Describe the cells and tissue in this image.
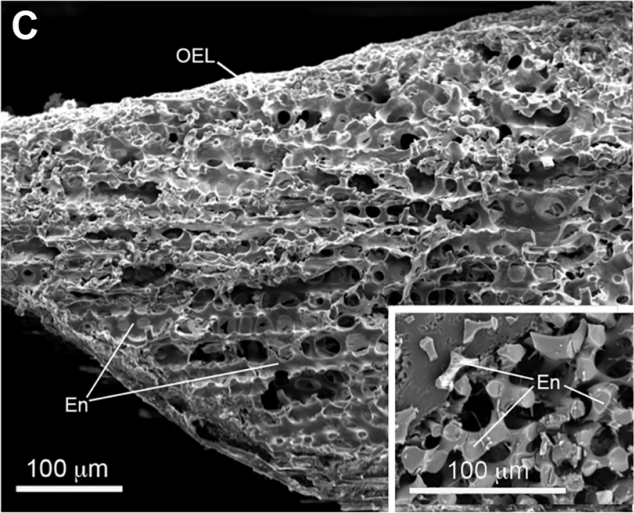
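This is a scanning electron image of the cut face of a spine sectioned along its length, showing its core. Most of the interior is a porous, sponge-like framework of smooth, branching struts surrounding rounded holes of varying size. The holes tend to be lined up in rows running along the long axis of the spine. Along the upper surface runs a thin, rougher, more compact layer that covers the framework. The inset at higher magnification shows the struts as smooth, glassy, interconnected bars enclosing open spaces.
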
